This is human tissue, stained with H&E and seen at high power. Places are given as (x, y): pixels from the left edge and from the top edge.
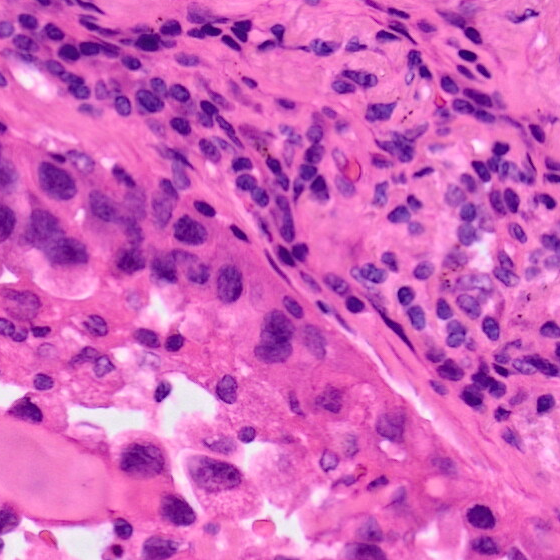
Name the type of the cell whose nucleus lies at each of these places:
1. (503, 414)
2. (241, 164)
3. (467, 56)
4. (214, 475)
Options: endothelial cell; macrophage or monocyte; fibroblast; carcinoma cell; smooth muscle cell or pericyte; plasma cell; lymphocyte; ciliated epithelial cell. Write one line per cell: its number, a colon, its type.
1: lymphocyte
2: lymphocyte
3: lymphocyte
4: carcinoma cell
